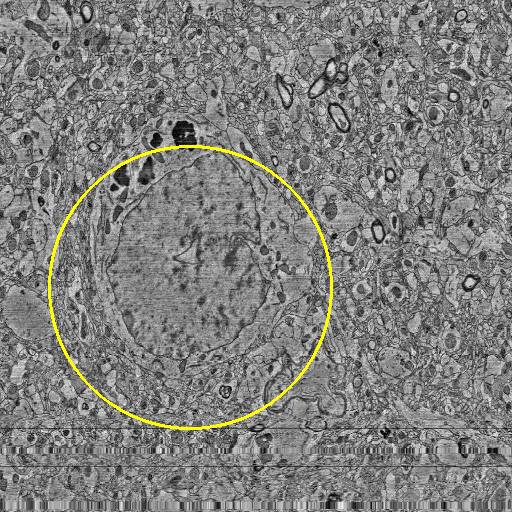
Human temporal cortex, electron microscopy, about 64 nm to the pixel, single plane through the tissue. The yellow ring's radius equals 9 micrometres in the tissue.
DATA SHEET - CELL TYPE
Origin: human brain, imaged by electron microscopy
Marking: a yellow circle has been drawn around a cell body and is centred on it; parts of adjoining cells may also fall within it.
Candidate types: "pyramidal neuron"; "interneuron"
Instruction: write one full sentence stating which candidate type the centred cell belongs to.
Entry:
The cell body at the centre of the yellow ring in this micrograph belongs to an interneuron.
